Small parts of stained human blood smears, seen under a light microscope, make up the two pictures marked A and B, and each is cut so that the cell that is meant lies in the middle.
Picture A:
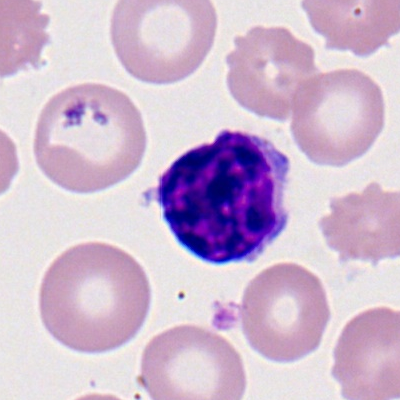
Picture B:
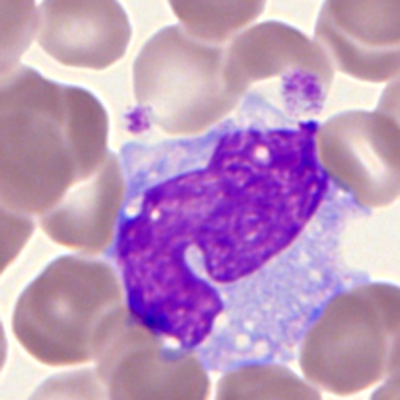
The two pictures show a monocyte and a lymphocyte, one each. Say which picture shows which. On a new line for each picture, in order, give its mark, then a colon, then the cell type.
A: lymphocyte
B: monocyte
